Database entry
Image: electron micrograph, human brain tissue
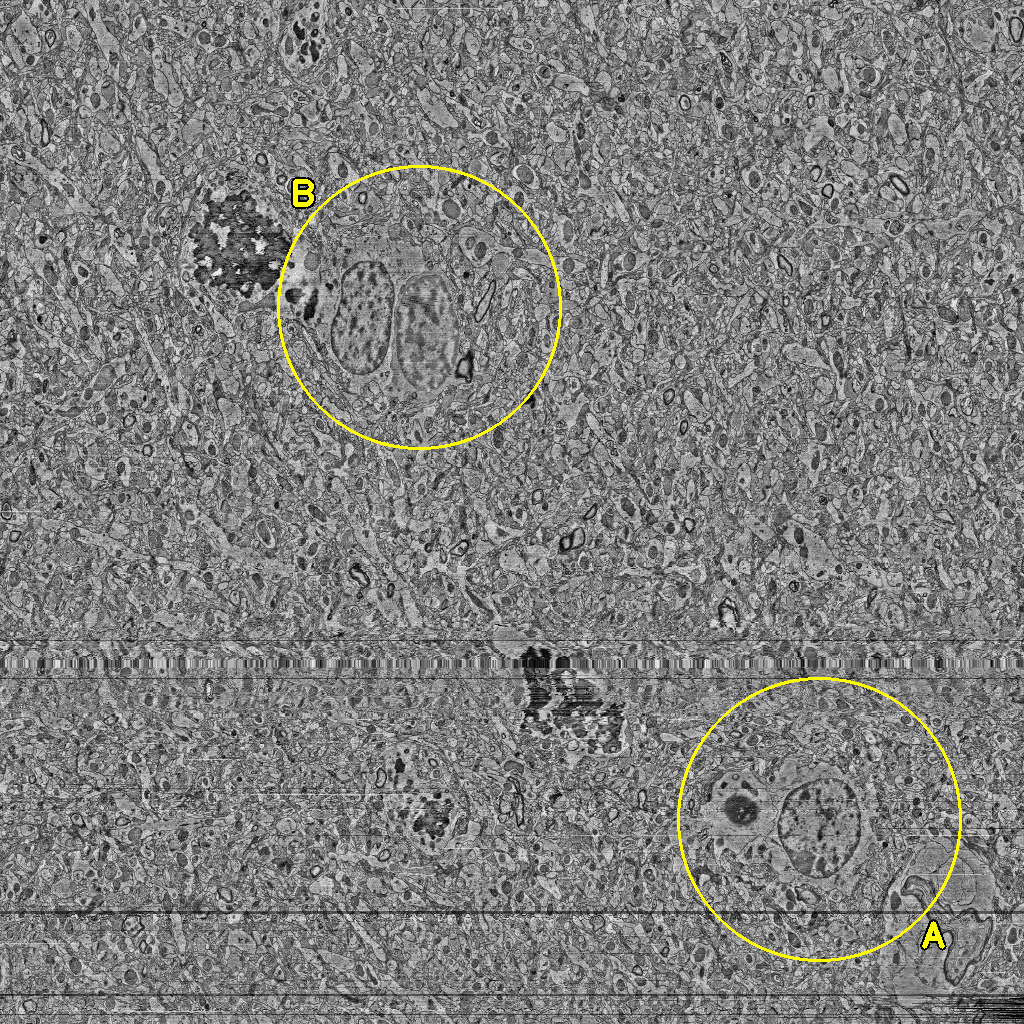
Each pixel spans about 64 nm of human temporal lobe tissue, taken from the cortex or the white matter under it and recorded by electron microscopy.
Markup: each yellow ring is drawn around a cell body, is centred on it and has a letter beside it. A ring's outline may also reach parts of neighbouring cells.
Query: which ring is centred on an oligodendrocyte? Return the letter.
B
